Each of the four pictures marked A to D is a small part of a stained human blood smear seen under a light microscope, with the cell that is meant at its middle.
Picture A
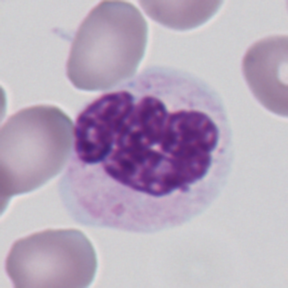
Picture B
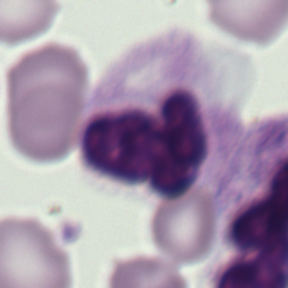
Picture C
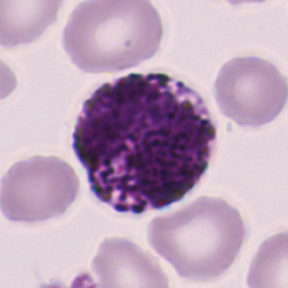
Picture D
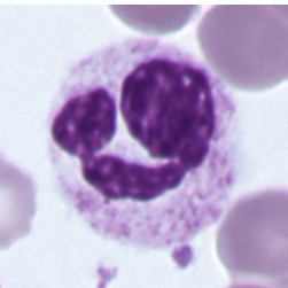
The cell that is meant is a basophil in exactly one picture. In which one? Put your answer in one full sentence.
The cell in picture C is the basophil.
